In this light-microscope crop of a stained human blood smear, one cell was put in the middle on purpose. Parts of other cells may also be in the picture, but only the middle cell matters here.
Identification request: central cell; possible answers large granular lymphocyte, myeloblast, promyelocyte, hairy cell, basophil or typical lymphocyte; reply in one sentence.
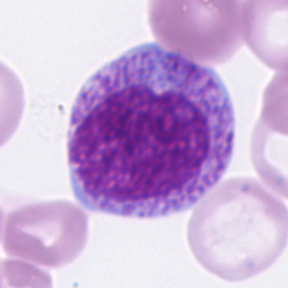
The identification for the central cell is a promyelocyte.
